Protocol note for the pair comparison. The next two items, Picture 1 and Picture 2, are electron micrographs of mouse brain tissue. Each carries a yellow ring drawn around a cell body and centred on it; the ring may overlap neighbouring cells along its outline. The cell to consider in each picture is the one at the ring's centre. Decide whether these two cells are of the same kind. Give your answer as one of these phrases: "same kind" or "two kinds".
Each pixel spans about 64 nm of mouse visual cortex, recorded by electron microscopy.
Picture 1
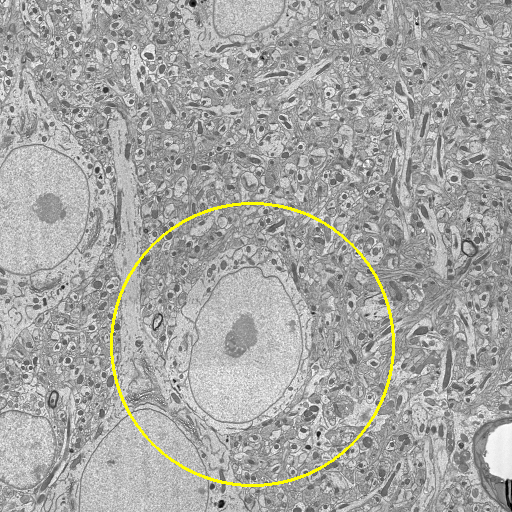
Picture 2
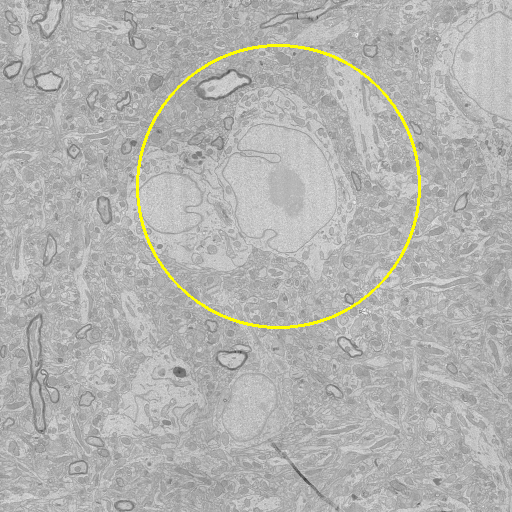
same kind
